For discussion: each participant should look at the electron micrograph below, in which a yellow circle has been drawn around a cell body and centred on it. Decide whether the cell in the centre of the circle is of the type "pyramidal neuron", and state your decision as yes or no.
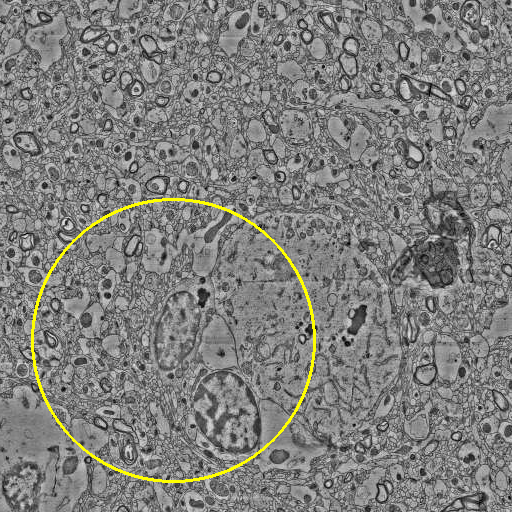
no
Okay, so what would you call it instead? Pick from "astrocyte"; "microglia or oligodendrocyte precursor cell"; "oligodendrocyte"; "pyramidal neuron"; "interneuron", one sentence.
The cell in the ring is an oligodendrocyte instead.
